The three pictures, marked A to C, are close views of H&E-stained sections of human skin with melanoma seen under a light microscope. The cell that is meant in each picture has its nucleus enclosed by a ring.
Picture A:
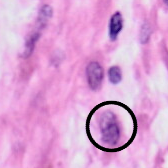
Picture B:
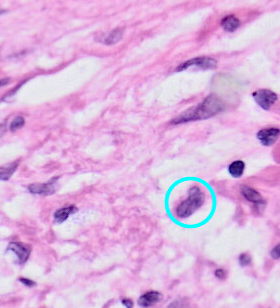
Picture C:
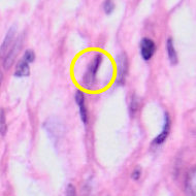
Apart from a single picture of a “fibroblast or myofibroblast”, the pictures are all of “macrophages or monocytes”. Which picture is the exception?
C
